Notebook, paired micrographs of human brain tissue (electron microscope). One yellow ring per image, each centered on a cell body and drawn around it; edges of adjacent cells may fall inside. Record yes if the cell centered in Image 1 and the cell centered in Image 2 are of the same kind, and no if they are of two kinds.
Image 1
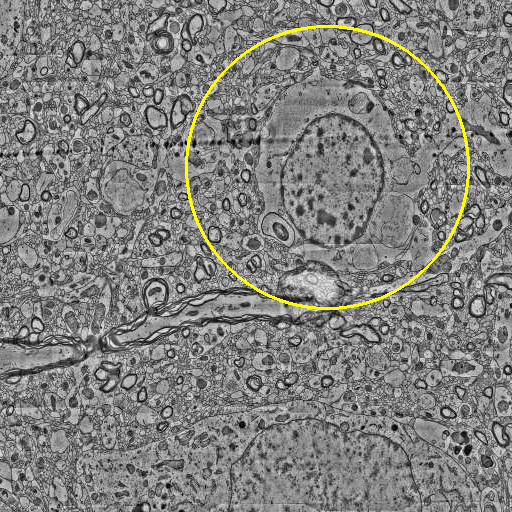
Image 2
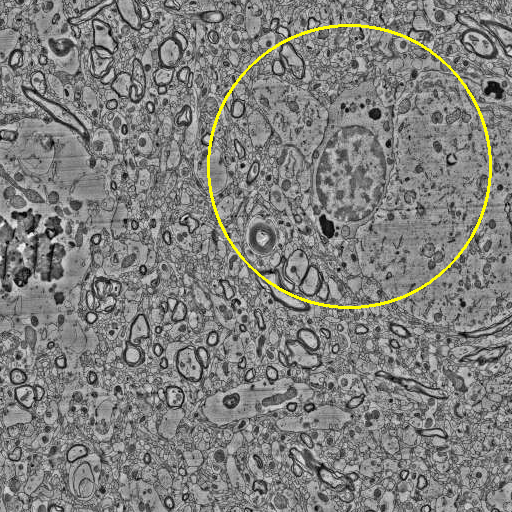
no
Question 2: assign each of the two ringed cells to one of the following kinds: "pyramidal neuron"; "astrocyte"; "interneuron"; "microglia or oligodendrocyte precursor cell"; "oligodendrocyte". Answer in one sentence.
The two cells are an astrocyte in the first picture and an oligodendrocyte in the second.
